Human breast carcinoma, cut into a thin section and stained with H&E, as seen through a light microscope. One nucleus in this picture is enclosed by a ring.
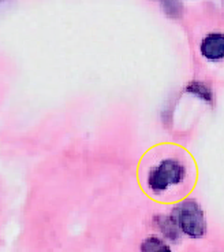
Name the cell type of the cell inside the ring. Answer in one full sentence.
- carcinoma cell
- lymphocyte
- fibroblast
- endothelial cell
It is a lymphocyte that the cell inside the ring represents.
